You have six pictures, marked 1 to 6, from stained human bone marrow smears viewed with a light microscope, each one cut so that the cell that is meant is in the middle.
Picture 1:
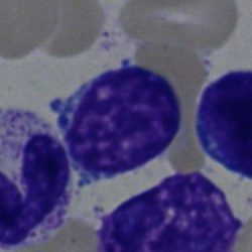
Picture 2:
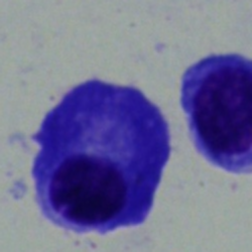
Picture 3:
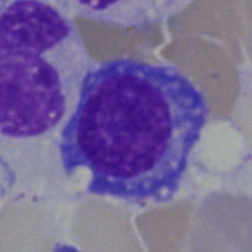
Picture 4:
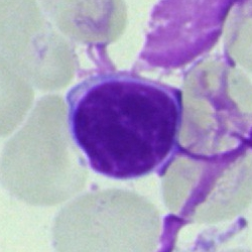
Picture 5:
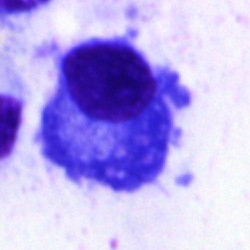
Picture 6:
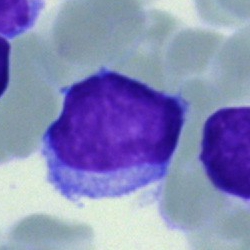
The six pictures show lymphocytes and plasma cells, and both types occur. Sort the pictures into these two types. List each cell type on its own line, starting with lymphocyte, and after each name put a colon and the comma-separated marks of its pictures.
lymphocyte: 1, 4, 6
plasma cell: 2, 3, 5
